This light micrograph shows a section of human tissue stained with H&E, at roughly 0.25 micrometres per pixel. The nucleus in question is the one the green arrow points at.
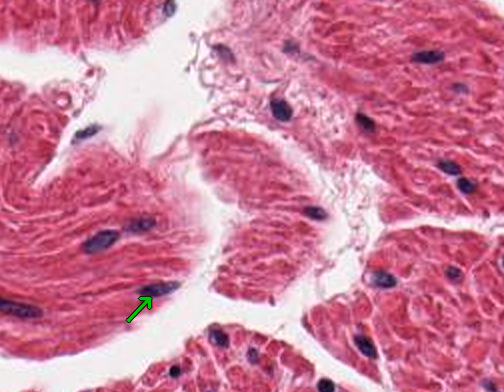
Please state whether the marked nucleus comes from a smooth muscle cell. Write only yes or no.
yes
